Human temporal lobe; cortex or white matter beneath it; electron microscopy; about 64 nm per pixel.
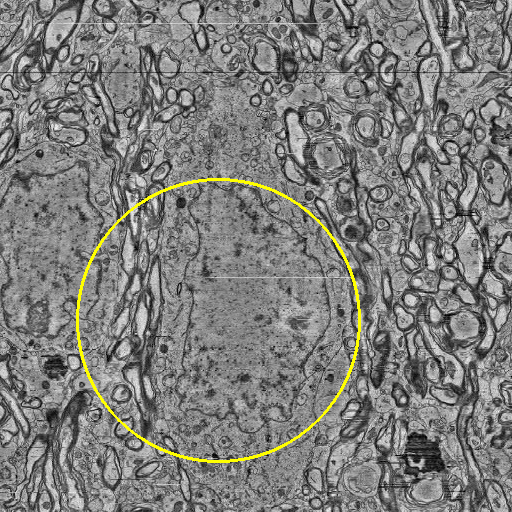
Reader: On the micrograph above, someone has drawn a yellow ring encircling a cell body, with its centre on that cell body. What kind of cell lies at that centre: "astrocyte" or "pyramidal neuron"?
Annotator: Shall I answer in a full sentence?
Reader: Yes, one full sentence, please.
Here a pyramidal neuron sits at the centre of the yellow ring drawn on the micrograph.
